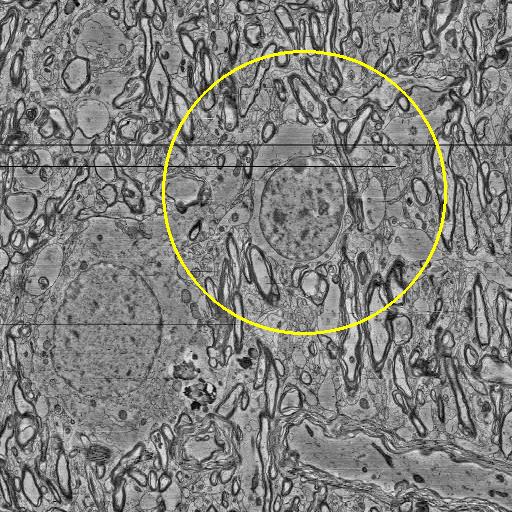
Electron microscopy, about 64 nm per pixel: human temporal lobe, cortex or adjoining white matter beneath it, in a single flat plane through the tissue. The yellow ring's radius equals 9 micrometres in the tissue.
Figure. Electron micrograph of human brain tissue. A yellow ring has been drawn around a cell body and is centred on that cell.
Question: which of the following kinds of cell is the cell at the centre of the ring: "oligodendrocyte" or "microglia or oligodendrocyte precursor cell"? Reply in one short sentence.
The cell at the centre of the ring is a microglial cell or oligodendrocyte precursor cell.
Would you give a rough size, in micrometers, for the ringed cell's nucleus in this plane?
The nucleus comes to roughly 7 by 6 micrometres in this plane.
